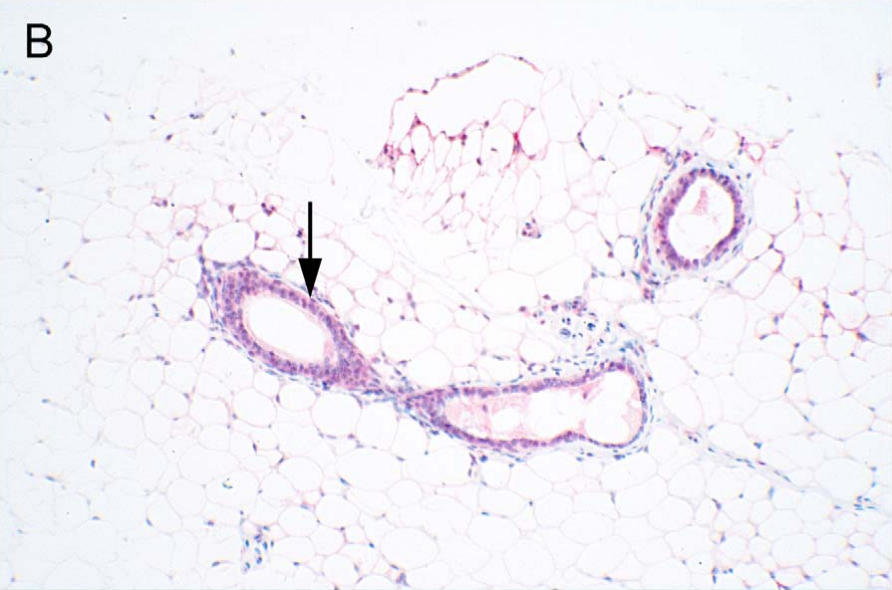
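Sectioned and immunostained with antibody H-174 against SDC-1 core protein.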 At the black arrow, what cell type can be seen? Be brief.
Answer: Ductal epithelial cells.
